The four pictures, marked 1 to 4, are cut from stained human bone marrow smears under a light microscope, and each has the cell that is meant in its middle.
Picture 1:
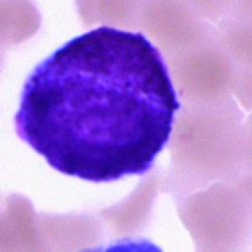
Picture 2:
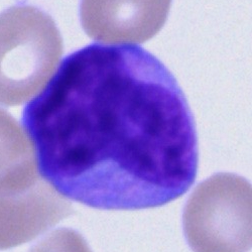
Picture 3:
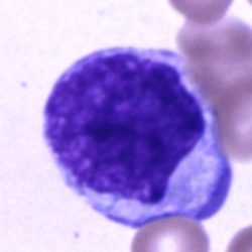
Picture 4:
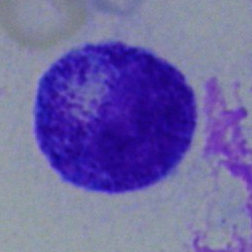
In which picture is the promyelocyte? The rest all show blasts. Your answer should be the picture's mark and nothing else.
4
